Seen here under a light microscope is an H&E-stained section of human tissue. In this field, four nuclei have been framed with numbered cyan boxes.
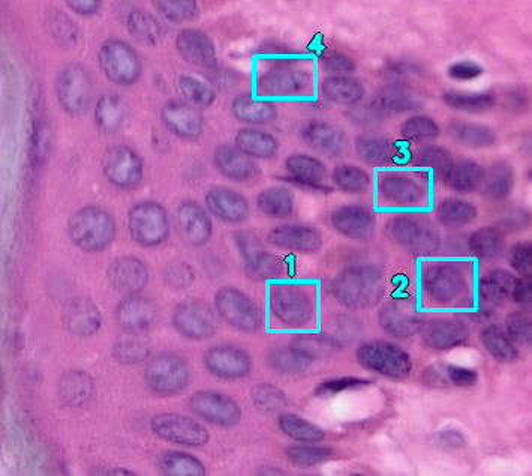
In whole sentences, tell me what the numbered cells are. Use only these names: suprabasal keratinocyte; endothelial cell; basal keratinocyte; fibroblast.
Cell 1 is a suprabasal keratinocyte. Cells 2, 3 and 4 are basal keratinocytes.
